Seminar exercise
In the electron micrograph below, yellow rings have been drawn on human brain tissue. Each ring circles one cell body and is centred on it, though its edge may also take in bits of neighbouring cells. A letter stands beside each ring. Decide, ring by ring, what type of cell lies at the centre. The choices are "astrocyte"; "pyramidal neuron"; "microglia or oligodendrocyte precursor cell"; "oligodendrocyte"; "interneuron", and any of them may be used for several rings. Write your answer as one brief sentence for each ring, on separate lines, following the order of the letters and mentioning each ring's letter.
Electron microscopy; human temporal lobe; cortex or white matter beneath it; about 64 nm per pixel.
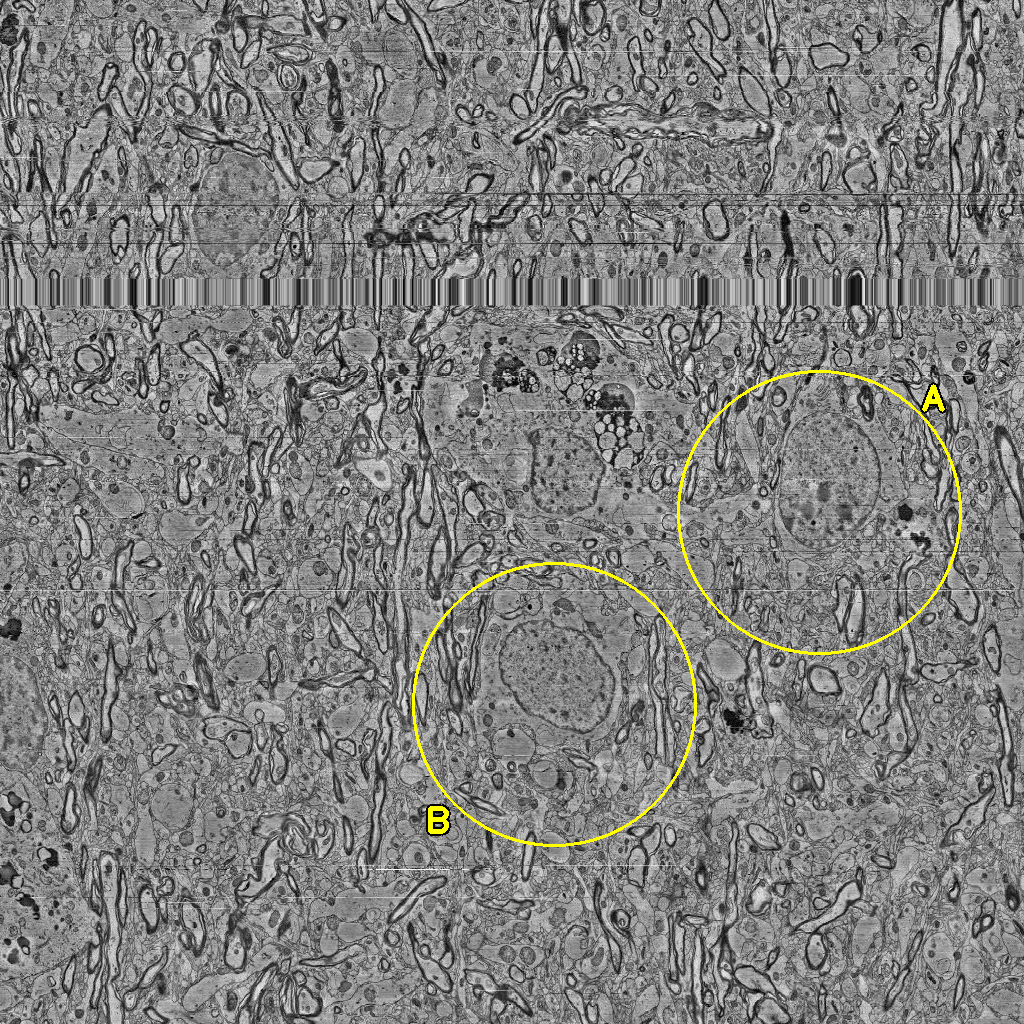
The cell in the middle of ring A is a microglial cell or oligodendrocyte precursor cell.
The cell in the middle of ring B is an astrocyte.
